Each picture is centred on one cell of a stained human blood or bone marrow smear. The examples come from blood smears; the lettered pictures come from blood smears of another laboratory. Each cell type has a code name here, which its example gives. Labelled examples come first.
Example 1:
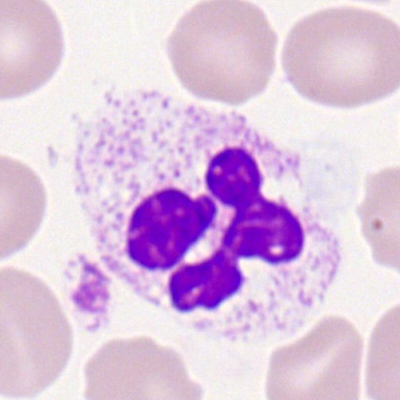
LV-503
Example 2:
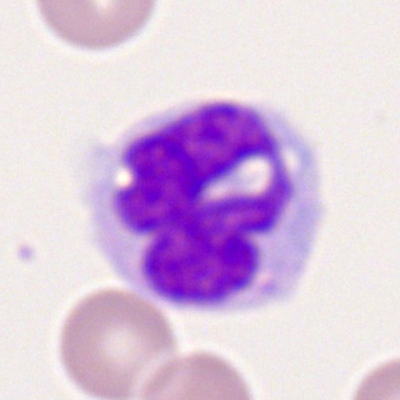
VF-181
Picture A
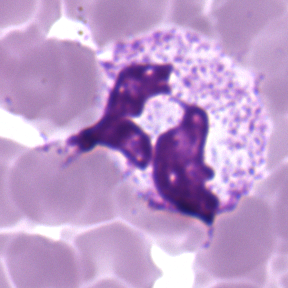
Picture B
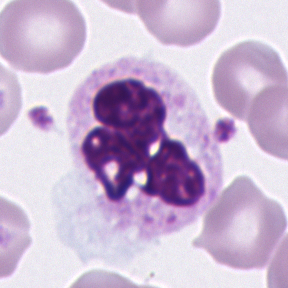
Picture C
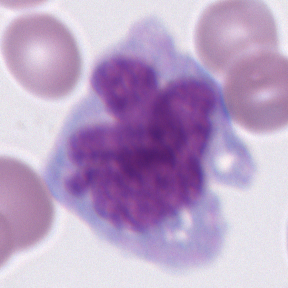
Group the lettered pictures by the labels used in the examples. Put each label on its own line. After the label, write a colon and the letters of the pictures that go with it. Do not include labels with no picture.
LV-503: A, B
VF-181: C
